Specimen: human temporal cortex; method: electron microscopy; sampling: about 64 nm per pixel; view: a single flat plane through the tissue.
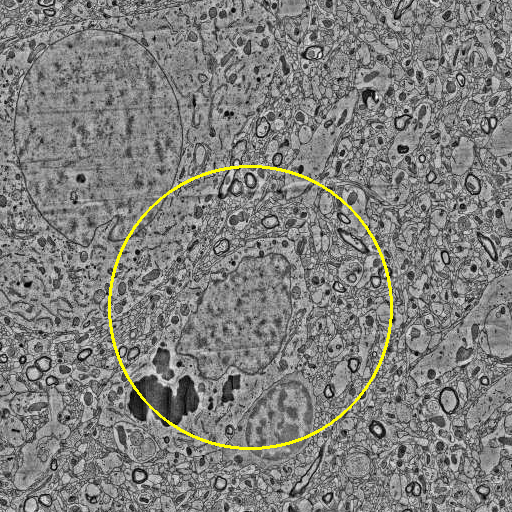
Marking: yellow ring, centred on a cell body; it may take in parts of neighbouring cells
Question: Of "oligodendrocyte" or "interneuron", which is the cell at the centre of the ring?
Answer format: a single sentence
The ring surrounds the body of an interneuron.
